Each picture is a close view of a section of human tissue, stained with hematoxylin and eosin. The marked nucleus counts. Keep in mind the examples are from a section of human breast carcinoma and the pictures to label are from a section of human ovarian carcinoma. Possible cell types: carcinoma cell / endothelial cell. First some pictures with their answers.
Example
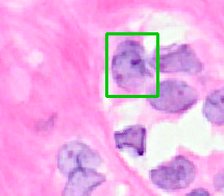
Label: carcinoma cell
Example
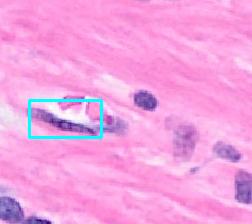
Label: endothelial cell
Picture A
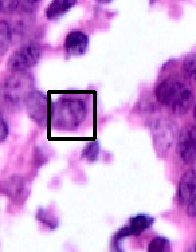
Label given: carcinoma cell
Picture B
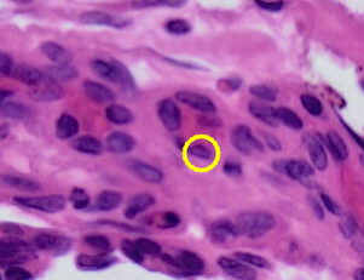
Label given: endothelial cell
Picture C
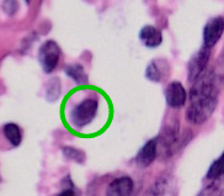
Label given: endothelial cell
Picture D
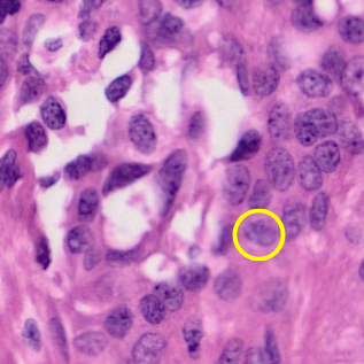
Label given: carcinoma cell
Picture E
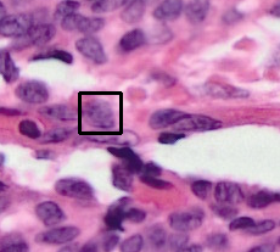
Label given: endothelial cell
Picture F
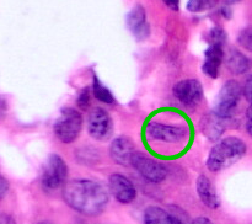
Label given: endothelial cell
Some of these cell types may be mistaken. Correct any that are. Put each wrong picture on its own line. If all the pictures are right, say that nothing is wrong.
C: carcinoma cell, not endothelial cell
